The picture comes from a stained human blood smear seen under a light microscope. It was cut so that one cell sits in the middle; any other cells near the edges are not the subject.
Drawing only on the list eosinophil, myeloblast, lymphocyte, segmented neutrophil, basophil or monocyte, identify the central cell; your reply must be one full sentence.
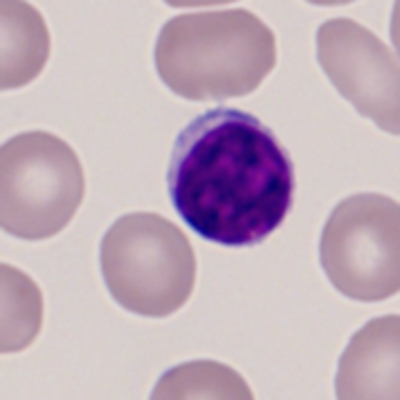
The middle of this crop holds a lymphocyte.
